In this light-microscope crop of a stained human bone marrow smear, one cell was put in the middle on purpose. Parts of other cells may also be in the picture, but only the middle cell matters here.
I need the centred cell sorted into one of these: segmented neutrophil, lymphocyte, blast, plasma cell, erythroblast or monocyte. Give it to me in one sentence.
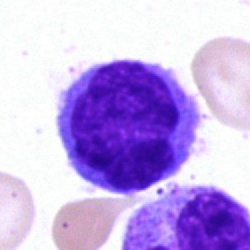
Classified as a monocyte is the cell in the middle of this crop.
